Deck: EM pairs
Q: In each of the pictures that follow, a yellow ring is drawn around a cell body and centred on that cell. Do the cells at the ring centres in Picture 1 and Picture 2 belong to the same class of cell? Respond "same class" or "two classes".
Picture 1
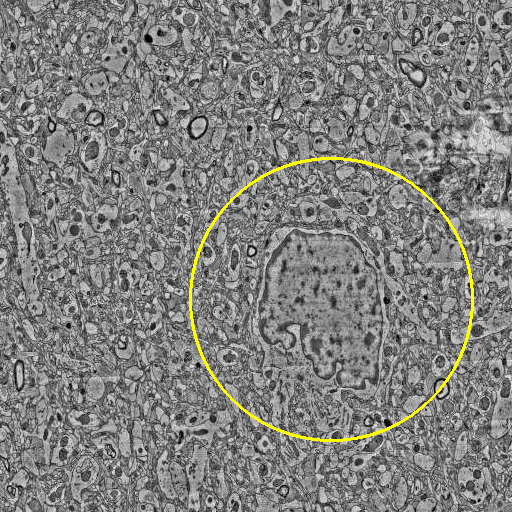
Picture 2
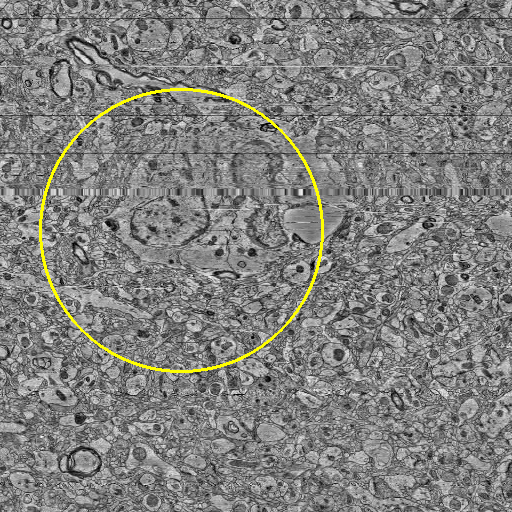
same class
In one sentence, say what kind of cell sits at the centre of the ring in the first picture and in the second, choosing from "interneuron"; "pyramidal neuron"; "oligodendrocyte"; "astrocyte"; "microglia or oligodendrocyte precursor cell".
Each one of the two ringed cells is a microglial cell or oligodendrocyte precursor cell.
